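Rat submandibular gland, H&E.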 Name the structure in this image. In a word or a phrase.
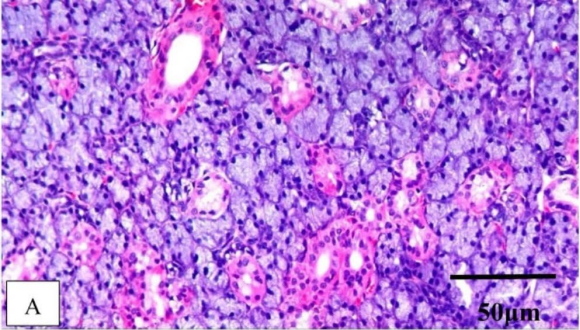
Rounded serous acini.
